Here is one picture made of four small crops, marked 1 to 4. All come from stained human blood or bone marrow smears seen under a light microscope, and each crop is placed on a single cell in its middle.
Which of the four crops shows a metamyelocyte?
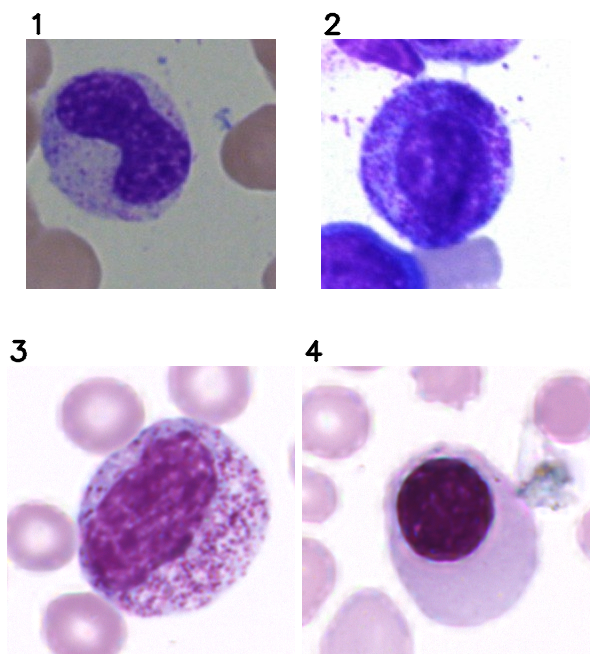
1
